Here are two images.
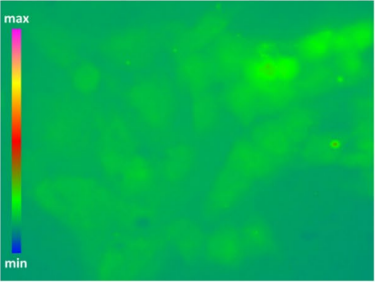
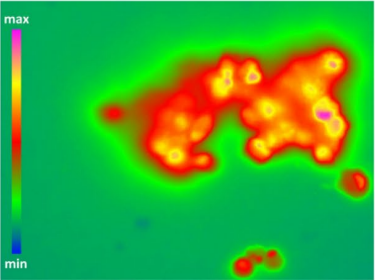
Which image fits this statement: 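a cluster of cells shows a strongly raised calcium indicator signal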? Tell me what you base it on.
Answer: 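Second image: a large group of cells glows red, yellow and white, near the top of the colour scale. The answer: the second image.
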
